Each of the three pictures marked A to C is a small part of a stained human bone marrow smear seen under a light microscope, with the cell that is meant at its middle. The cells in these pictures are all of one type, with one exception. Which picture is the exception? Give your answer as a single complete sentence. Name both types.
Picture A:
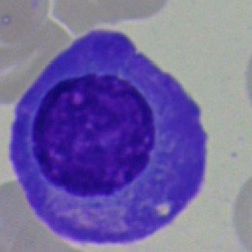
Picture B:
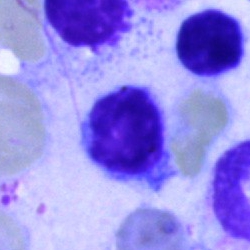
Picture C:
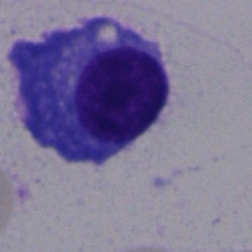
Unlike the rest, which show plasma cells, picture B shows a lymphocyte.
